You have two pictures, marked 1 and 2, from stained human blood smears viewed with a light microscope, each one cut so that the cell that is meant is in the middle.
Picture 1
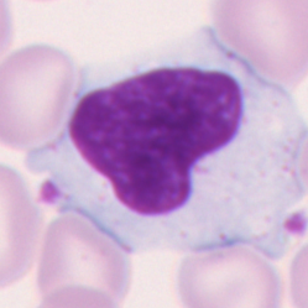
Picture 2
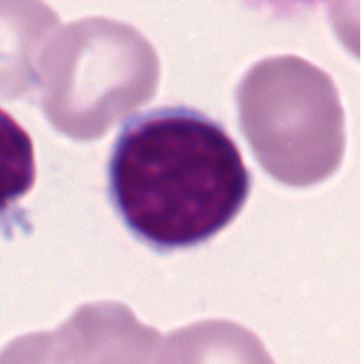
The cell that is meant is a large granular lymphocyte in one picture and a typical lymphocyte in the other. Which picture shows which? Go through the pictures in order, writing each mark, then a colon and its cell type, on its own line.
1: large granular lymphocyte
2: typical lymphocyte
